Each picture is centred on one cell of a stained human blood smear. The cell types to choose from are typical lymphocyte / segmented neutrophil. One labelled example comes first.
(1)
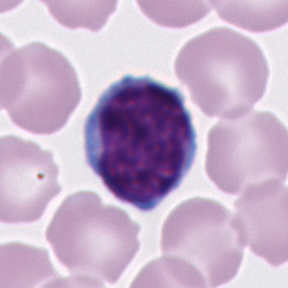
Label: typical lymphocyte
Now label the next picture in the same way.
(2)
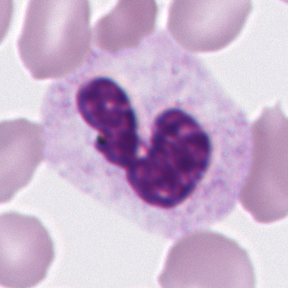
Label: segmented neutrophil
